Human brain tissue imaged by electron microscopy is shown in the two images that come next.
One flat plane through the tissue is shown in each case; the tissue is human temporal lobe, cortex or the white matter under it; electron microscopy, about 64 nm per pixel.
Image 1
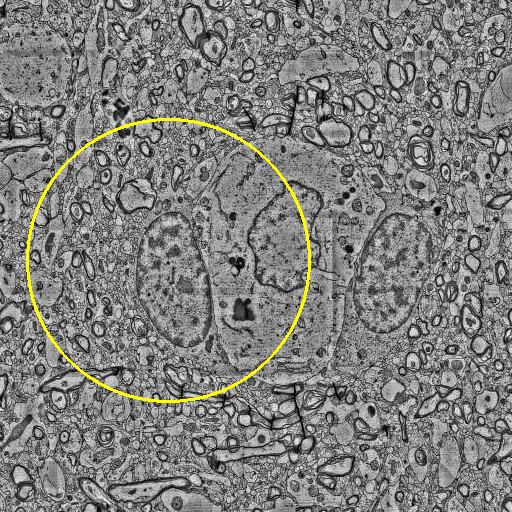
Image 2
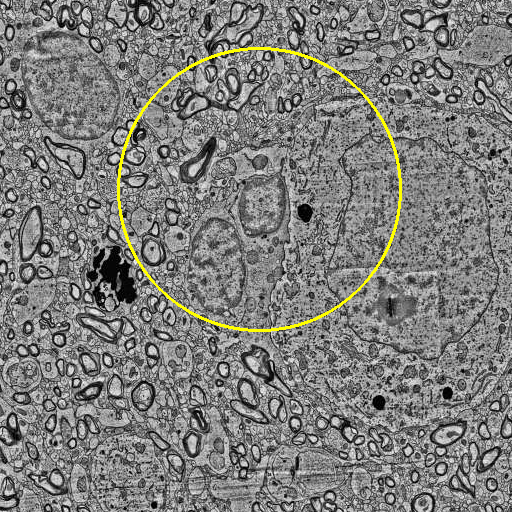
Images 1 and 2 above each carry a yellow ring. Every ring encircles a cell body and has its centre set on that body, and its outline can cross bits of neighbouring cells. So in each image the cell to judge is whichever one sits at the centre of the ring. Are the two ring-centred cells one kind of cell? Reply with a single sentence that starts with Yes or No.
Yes, in Image 1 and Image 2 the cells at the centres of their rings fall into one type.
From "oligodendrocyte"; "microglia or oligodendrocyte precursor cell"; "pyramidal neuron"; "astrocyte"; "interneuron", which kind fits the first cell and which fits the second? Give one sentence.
Both pictures show an oligodendrocyte at the centre of the ring.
